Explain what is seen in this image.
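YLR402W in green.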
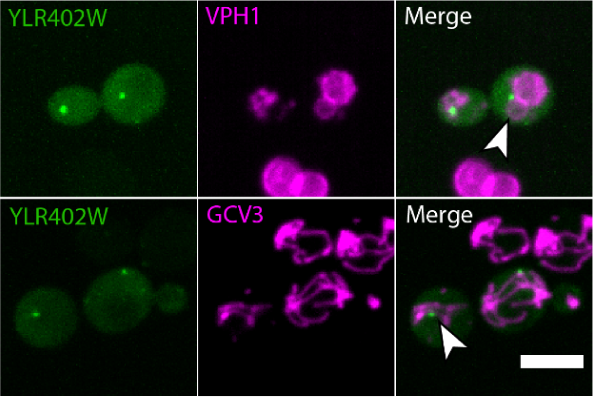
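Rounded cells, some budding, with faint diffuse green fluorescence through the cytoplasm and one or two small bright green dots each. In the lower row the magenta forms branched tubular networks of mitochondria lying toward the cell edges. In the merged images the green dots do not coincide with the magenta but sit immediately beside it, at the rim of the vacuole or next to a mitochondrial tubule, as the white arrowheads show.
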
